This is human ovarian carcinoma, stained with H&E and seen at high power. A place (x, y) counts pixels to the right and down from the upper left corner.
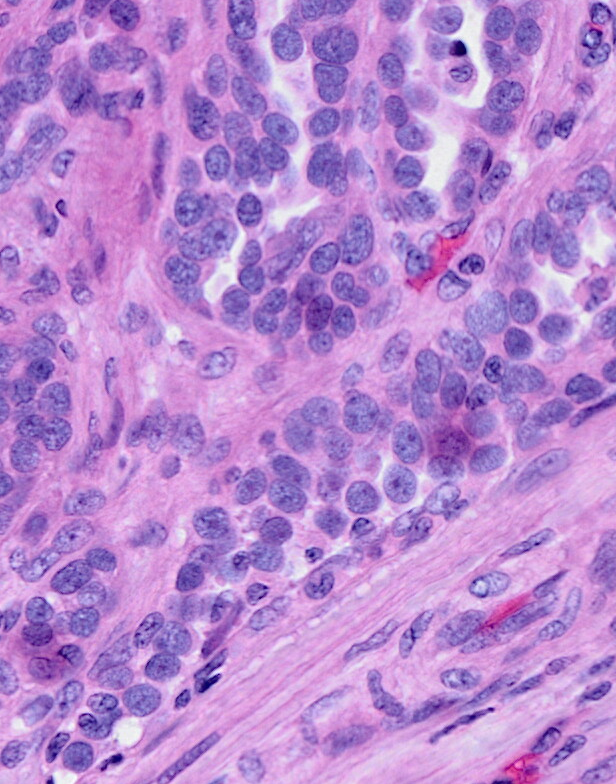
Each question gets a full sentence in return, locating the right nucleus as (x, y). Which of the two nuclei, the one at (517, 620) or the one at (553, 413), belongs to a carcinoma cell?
The nucleus at position (553, 413) belongs to a carcinoma cell.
